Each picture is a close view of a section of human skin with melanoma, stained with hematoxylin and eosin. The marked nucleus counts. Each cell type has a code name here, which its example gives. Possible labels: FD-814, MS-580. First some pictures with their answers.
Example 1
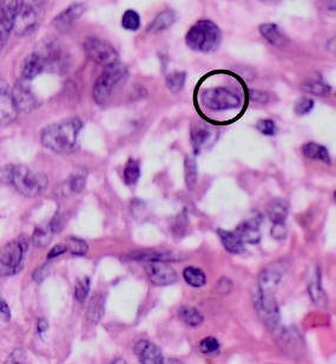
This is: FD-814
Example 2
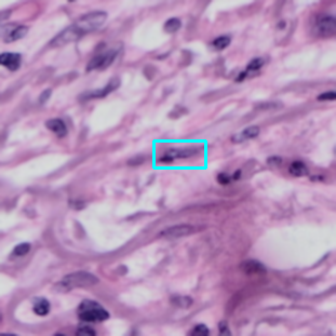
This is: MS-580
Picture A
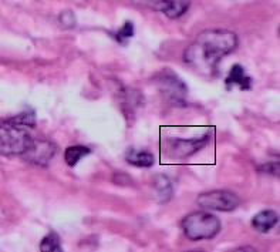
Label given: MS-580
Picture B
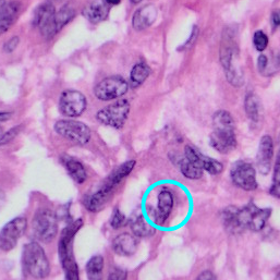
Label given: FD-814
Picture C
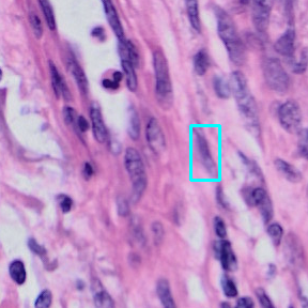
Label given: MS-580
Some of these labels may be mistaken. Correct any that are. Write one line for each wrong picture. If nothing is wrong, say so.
All labels are correct.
